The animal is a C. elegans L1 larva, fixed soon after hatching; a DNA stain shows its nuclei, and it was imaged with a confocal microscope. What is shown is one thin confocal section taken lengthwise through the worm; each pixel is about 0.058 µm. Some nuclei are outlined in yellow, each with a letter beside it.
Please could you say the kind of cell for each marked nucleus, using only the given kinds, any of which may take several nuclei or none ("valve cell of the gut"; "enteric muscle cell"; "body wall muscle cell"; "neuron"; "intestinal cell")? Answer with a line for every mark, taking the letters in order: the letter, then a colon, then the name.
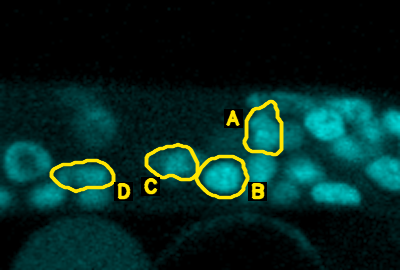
A: valve cell of the gut
B: neuron
C: enteric muscle cell
D: body wall muscle cell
